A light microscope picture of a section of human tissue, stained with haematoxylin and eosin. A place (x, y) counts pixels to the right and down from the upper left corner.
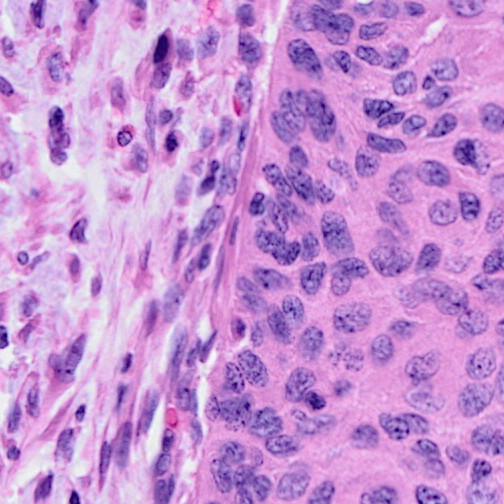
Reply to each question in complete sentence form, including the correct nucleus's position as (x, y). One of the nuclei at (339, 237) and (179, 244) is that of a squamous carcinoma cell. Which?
Of the two nuclei, the nucleus of a squamous carcinoma cell is at (339, 237).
